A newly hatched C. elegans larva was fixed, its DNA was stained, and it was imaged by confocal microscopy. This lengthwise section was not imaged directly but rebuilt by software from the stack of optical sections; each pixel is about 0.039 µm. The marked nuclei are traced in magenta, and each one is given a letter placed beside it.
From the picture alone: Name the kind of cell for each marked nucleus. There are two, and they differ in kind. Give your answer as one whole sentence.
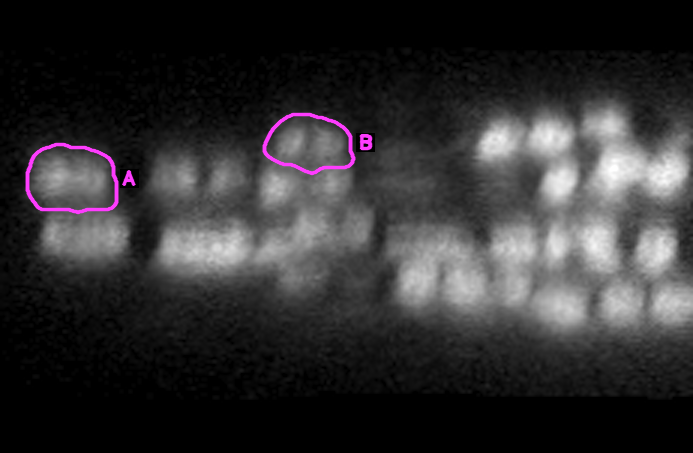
A is from a pharyngeal epithelial cell, and B is from a body wall muscle cell.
